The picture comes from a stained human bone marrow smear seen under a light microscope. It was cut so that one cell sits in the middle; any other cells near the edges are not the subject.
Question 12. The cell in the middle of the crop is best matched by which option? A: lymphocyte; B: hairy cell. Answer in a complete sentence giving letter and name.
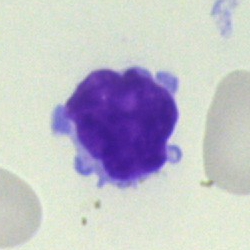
Option A is right, the centrally situated cell being a lymphocyte.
